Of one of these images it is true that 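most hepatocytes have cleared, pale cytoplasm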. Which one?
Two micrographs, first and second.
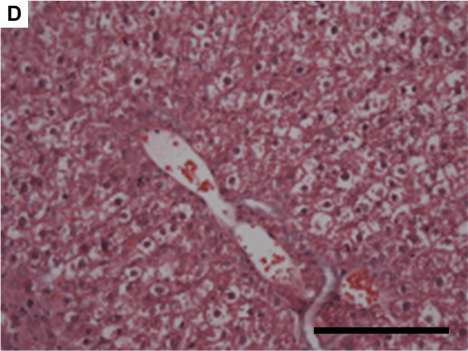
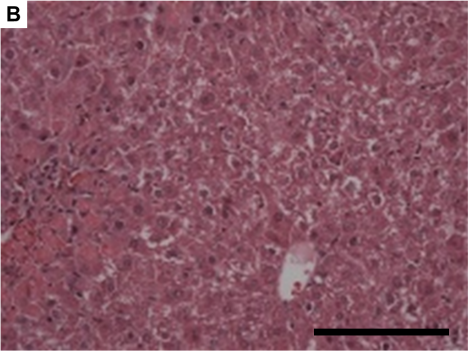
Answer: The first image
